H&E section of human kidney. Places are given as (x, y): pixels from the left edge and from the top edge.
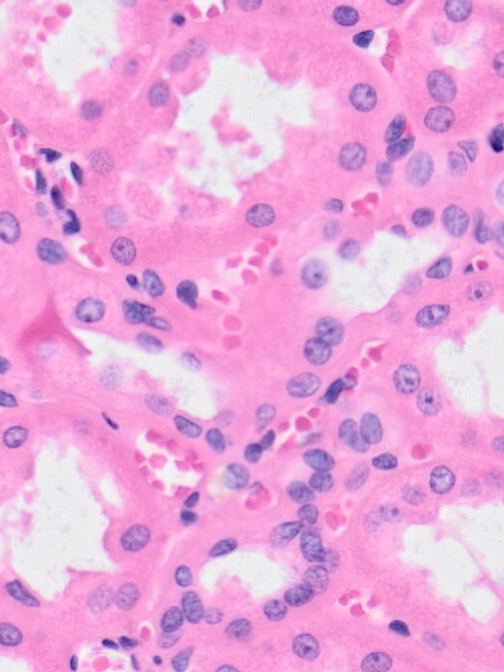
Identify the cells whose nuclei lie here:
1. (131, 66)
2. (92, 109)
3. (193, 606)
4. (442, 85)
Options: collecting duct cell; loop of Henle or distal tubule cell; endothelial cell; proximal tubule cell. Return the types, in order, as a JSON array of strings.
["proximal tubule cell", "proximal tubule cell", "collecting duct cell", "proximal tubule cell"]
